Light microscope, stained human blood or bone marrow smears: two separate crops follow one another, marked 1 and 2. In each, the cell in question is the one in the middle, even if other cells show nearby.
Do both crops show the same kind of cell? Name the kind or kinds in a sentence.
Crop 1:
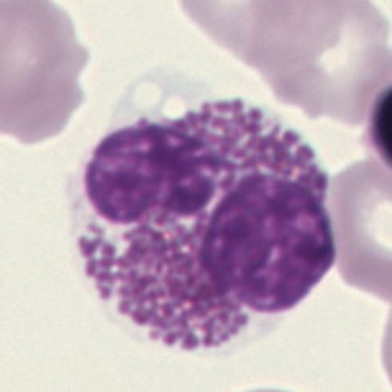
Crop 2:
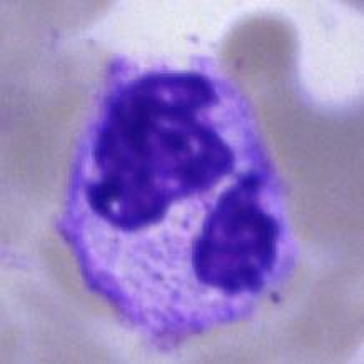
No, the assignment should read crop 1, an eosinophil; crop 2, a neutrophil.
